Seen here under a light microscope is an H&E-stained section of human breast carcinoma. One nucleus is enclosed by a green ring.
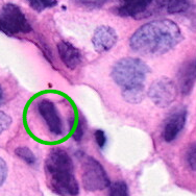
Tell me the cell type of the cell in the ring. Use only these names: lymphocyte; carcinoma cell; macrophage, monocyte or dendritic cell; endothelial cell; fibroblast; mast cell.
carcinoma cell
